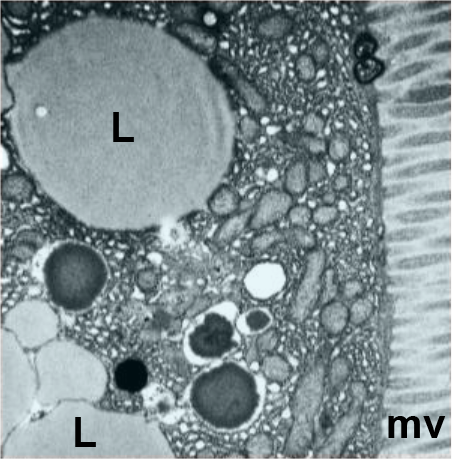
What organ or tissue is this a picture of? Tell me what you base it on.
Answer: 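A brush border of densely packed microvilli runs along the right edge. The cytoplasm is packed with lipid droplets, dense granules and mitochondria. On this evidence: intestine.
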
